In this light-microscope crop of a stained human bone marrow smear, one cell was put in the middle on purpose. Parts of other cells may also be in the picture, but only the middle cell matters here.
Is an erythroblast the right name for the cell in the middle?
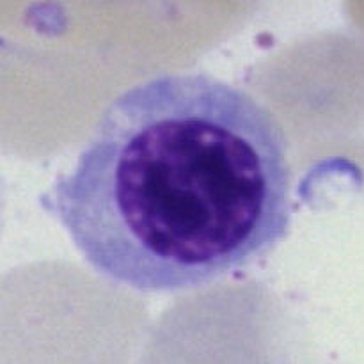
yes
